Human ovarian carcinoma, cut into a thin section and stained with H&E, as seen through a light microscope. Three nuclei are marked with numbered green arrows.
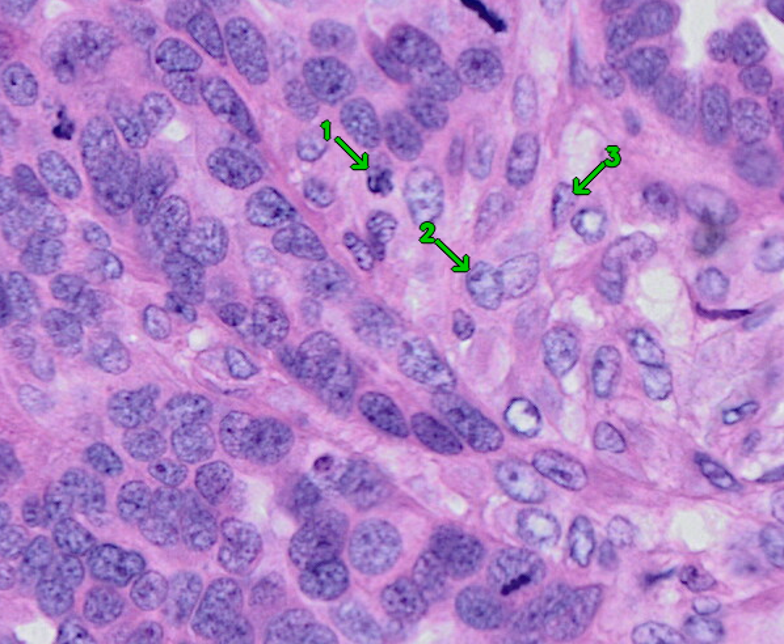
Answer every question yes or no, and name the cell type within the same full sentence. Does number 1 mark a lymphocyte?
Yes, in the section, number 1 is a lymphocyte.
